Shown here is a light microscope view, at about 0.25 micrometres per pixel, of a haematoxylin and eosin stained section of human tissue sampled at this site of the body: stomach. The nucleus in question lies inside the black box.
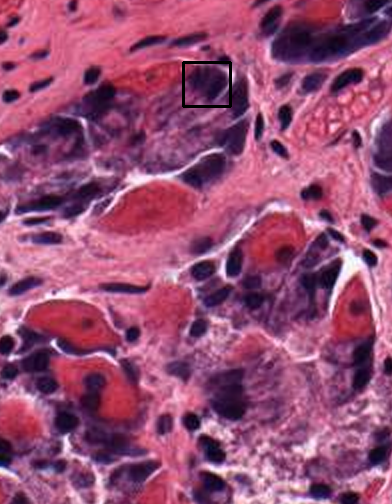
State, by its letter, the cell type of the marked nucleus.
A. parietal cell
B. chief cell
B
